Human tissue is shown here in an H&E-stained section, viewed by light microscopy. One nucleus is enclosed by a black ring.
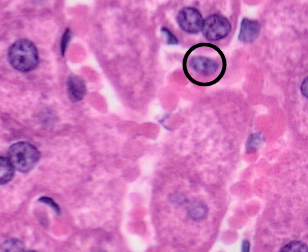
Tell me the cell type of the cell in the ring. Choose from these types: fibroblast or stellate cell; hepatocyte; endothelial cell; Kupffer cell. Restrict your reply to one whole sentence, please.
With respect to cell type, the cell in the ring is a Kupffer cell.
